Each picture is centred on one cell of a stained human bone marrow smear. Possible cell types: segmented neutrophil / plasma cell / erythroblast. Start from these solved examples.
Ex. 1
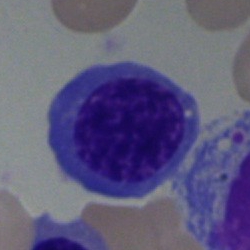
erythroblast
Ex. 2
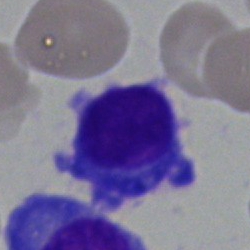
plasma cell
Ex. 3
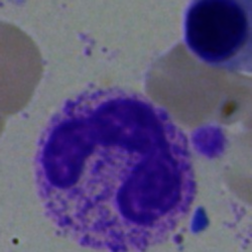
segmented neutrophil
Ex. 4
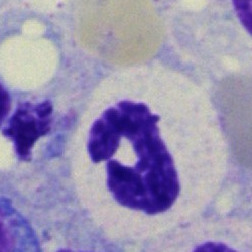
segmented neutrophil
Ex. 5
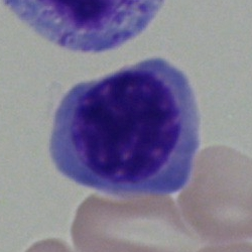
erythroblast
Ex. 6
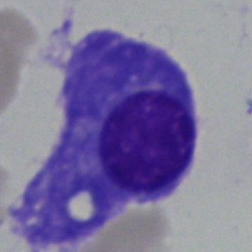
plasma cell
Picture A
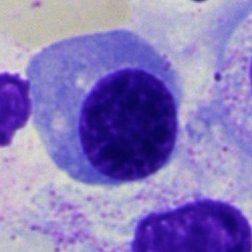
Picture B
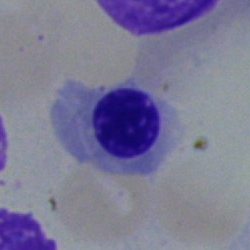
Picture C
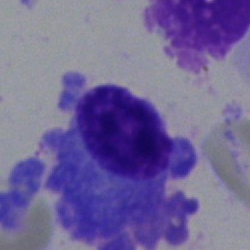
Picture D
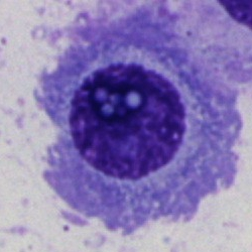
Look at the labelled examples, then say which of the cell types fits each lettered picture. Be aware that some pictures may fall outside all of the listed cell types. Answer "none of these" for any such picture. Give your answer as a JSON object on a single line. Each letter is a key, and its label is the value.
{"A": "erythroblast", "B": "erythroblast", "C": "plasma cell", "D": "plasma cell"}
